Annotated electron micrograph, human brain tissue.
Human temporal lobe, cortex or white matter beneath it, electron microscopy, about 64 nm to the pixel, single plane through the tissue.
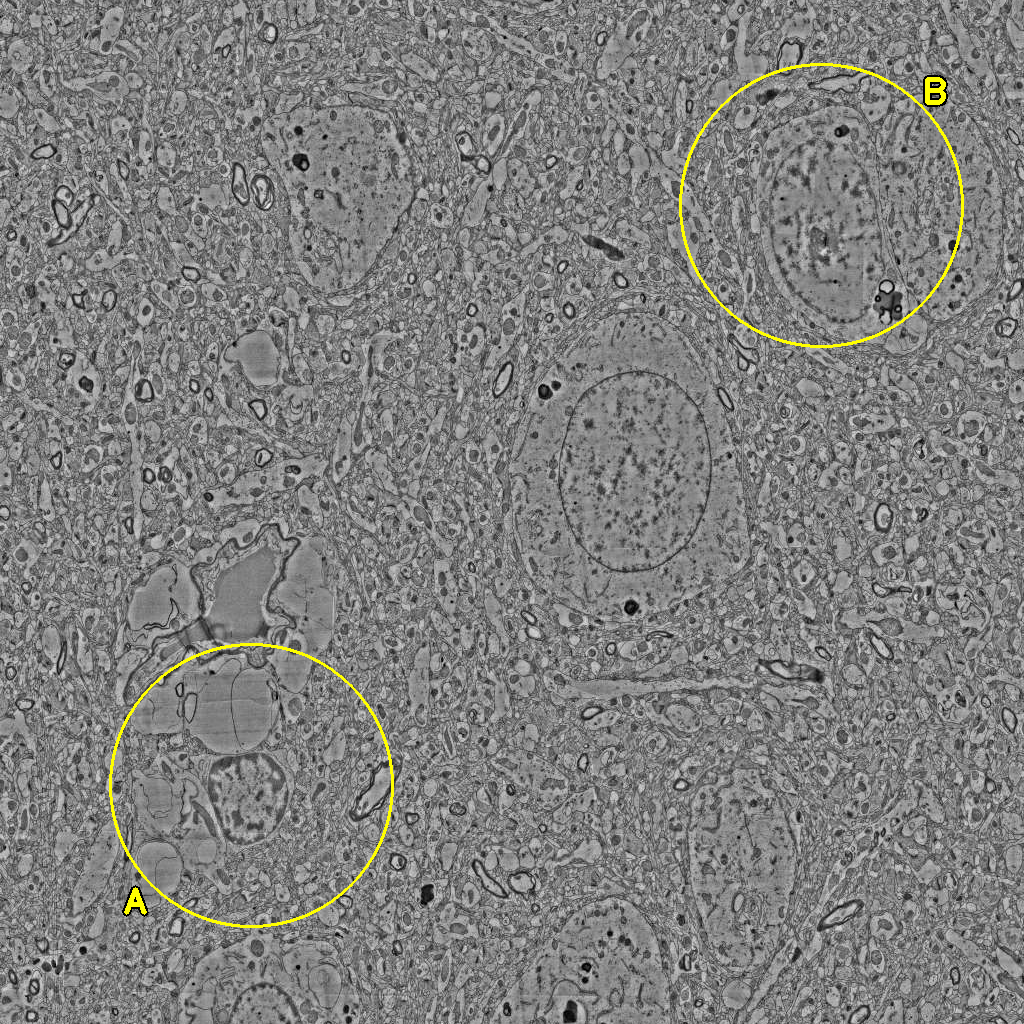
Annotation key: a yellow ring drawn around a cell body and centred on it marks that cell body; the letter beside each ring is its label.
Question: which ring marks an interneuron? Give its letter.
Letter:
B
